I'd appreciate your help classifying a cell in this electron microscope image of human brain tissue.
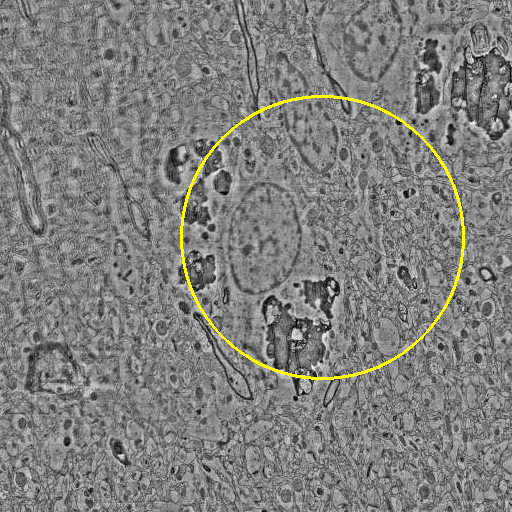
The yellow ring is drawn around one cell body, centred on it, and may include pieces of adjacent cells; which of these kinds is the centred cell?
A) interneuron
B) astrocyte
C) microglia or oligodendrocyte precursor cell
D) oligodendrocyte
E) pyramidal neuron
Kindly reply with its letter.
B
